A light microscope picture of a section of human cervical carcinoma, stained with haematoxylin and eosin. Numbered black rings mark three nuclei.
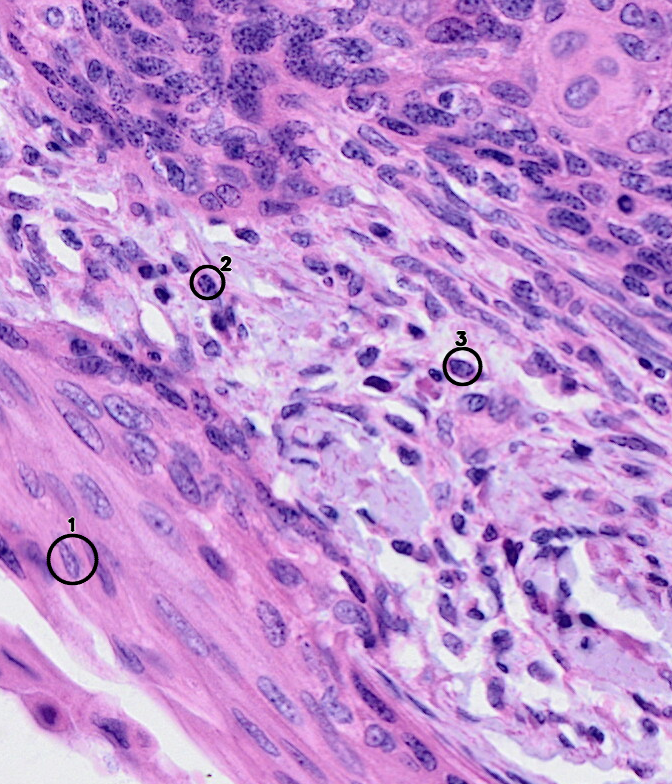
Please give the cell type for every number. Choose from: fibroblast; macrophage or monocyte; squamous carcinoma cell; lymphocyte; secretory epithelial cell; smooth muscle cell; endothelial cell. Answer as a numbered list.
1. squamous carcinoma cell
2. lymphocyte
3. lymphocyte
